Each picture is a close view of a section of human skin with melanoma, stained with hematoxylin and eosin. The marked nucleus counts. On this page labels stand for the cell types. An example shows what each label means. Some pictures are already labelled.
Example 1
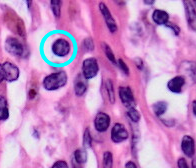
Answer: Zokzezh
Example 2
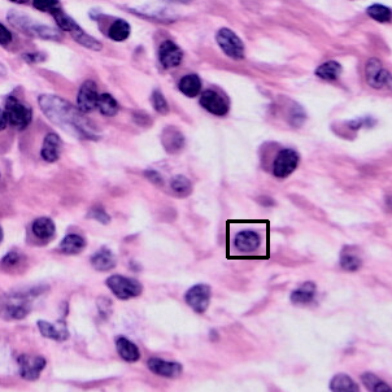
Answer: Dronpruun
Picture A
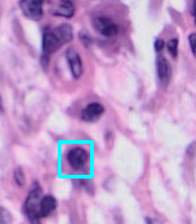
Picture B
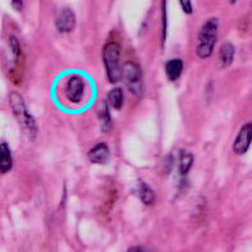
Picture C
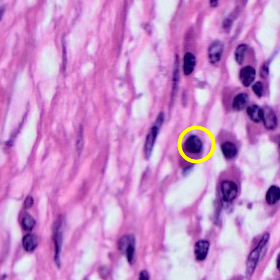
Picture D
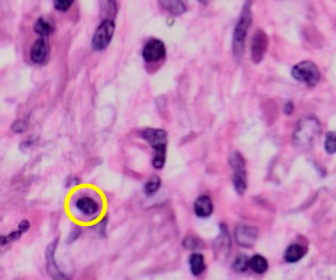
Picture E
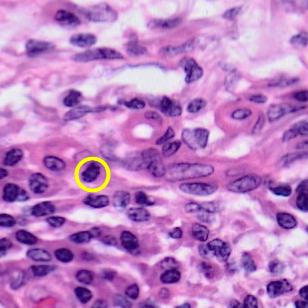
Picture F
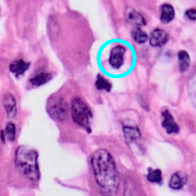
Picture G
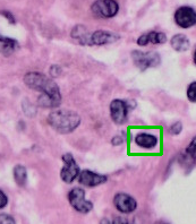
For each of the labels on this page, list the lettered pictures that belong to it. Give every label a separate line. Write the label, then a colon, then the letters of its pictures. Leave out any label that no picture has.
Zokzezh: B, F, G
Dronpruun: A, C, D, E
